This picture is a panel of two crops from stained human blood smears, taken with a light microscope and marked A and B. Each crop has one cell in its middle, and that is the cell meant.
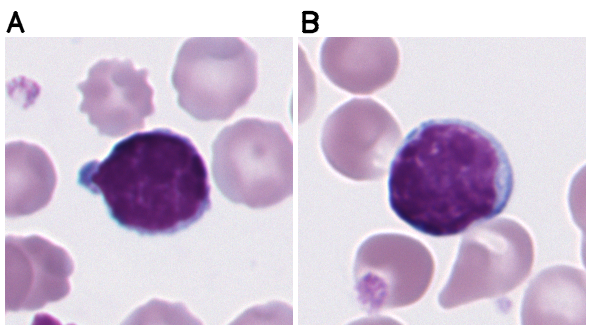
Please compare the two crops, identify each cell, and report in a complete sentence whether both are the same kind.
Yes, in both crops, typical lymphocytes are the cells at the middle.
